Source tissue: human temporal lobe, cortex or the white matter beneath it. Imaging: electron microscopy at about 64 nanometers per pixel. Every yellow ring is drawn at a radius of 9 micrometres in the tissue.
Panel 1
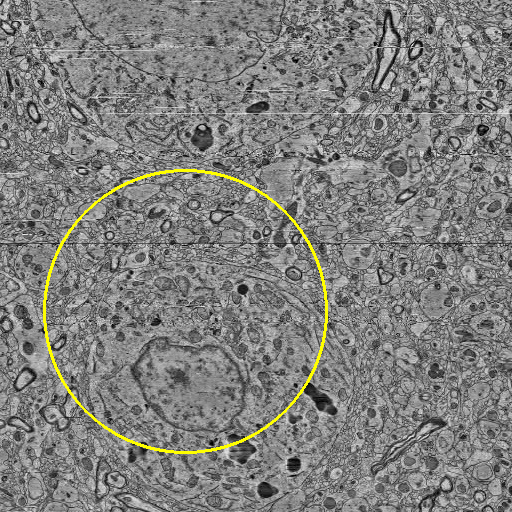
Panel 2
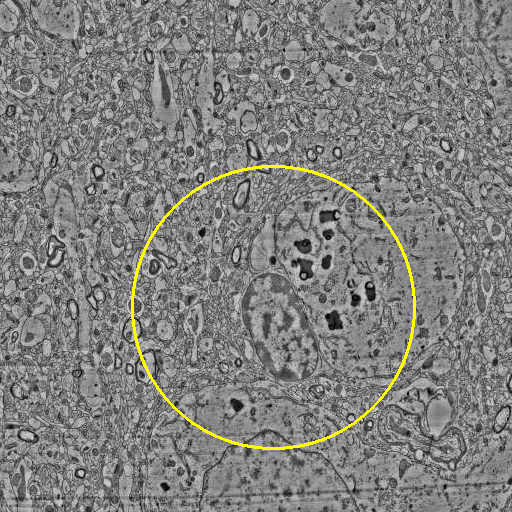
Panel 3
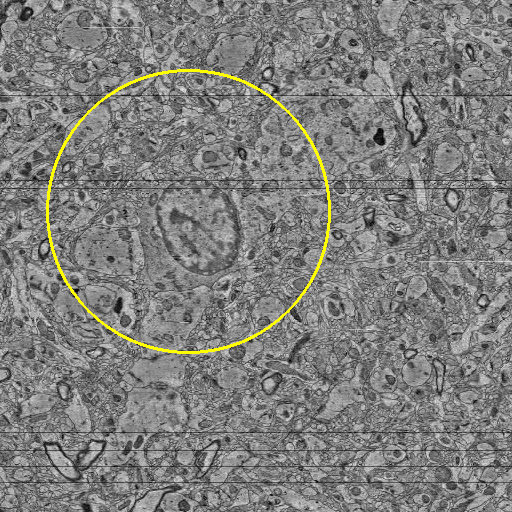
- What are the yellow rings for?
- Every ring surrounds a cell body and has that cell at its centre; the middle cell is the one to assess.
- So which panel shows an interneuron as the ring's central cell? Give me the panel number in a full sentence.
The panel whose ring is centred on the cell in question is panel 1.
